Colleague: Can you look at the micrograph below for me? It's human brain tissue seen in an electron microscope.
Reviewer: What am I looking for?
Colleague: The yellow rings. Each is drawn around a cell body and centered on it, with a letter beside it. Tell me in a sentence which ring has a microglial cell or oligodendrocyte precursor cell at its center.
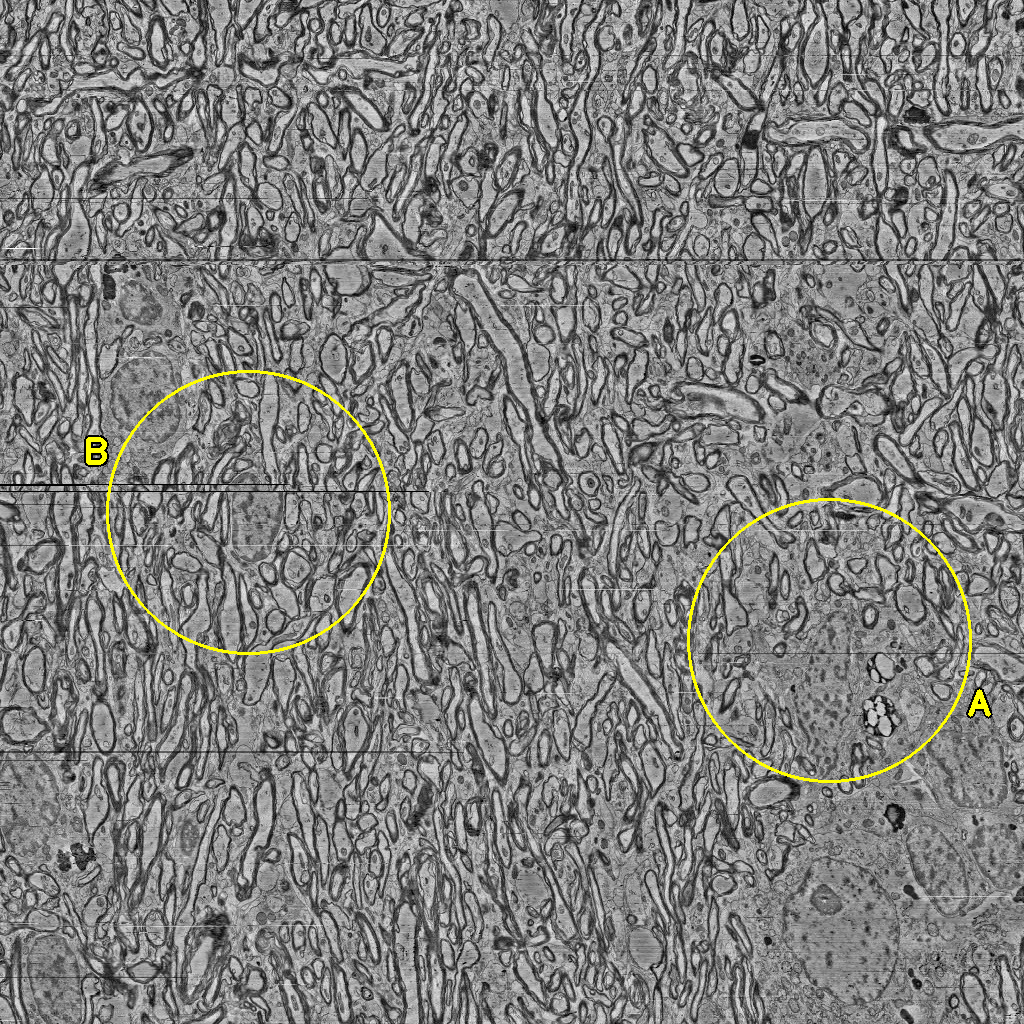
It's the cell in ring B.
